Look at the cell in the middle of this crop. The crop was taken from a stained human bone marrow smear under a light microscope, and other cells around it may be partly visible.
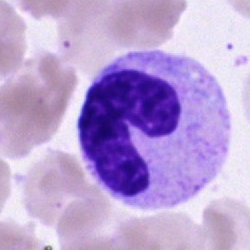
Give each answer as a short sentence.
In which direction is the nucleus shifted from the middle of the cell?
Toward the left of the cell lies its nucleus.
